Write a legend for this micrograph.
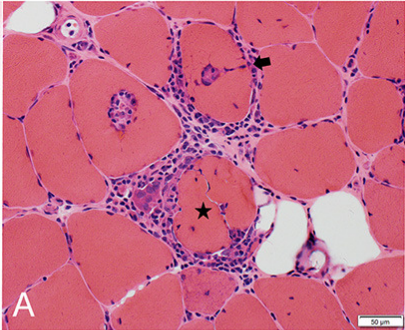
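Cross-section of skeletal muscle with polygonal pink muscle fibers of varying size, their nuclei flattened at the edges. Between the fibers, especially in the centre, lie dense collections of inflammatory cells: small round cells with dark purple nuclei and little cytoplasm. These cells surround several fibers and in places enter them, forming small clusters inside a fiber. One fiber in the lower centre is broken apart by clefts with inflammatory cells around and within it. Some clear spaces and small vessels lie in the connective tissue between fibers.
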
